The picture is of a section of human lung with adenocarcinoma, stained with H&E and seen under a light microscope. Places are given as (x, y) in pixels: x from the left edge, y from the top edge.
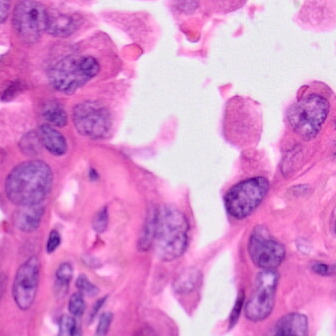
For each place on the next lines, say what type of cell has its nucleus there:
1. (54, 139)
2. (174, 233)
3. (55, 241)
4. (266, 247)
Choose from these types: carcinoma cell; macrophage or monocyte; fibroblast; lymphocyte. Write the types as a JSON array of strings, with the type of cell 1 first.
["carcinoma cell", "carcinoma cell", "lymphocyte", "carcinoma cell"]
